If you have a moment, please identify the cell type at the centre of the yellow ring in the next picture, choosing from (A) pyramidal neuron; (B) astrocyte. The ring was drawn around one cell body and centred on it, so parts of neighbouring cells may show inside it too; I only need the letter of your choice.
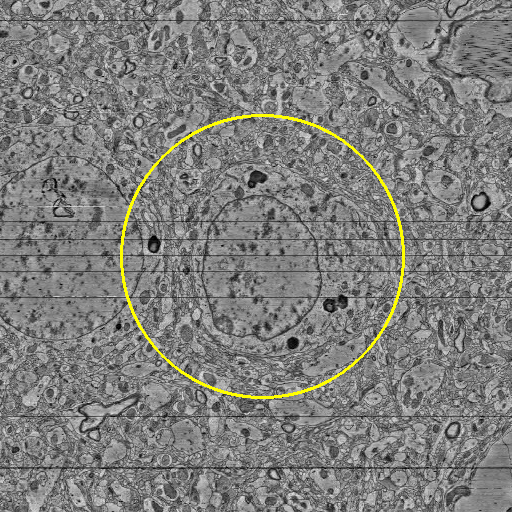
A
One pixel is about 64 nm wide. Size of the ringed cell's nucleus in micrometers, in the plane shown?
The nucleus of the ringed cell is approximately 10 by 8 micrometres in this plane.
